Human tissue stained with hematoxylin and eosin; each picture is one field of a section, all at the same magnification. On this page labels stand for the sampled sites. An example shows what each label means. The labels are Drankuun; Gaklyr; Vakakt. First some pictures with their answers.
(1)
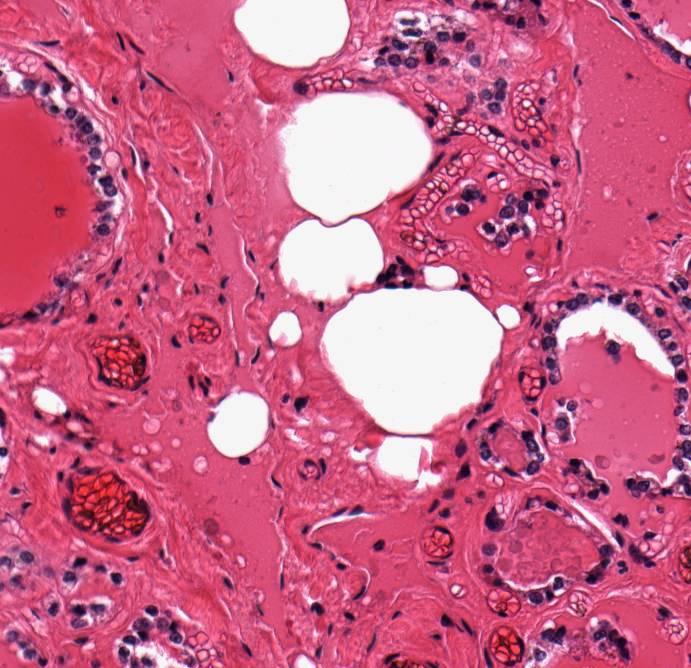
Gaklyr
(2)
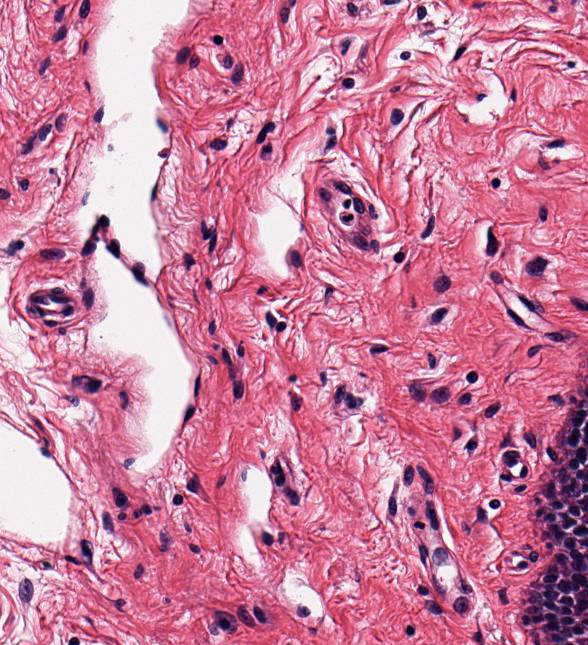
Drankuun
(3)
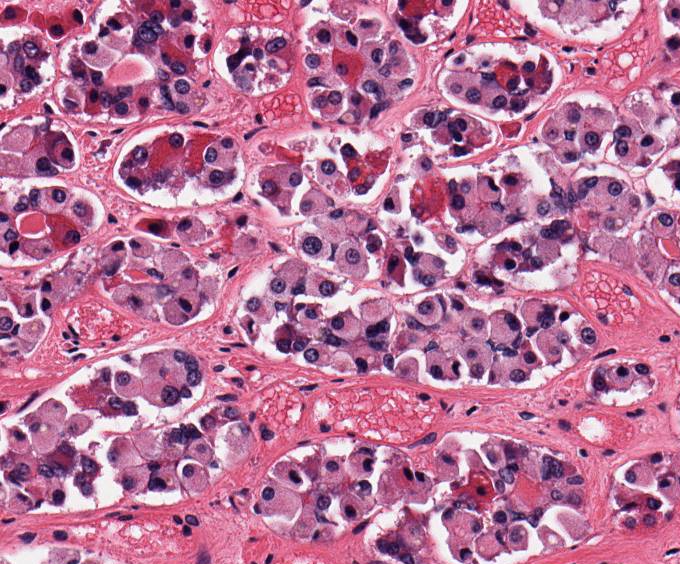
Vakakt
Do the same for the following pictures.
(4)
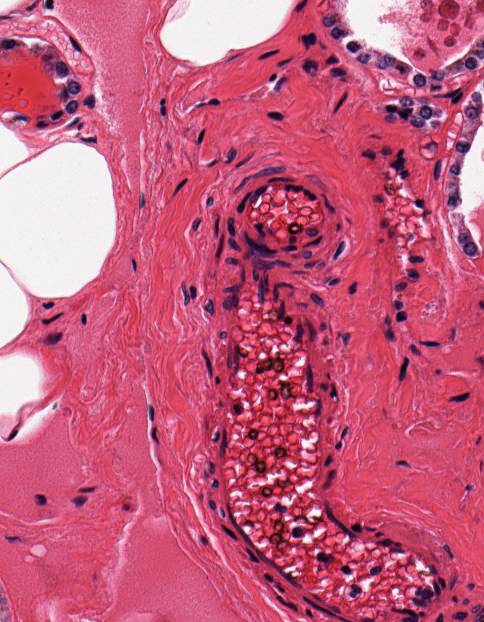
Gaklyr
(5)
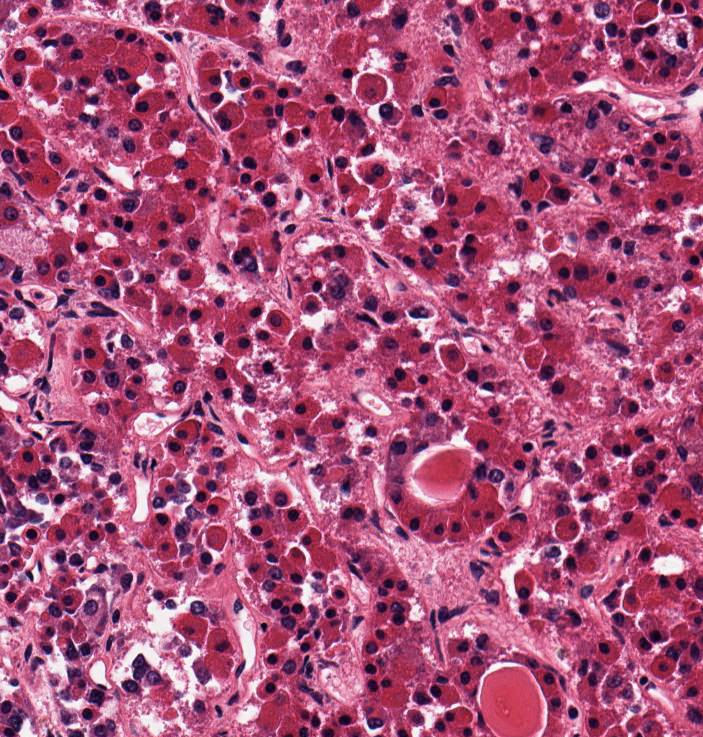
Vakakt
